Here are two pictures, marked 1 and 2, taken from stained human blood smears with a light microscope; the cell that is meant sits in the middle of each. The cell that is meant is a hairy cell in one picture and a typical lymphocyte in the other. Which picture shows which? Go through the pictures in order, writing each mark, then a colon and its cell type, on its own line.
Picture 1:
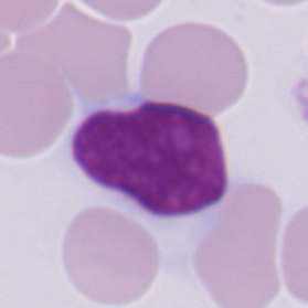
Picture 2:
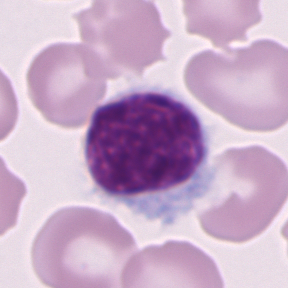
1: typical lymphocyte
2: hairy cell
